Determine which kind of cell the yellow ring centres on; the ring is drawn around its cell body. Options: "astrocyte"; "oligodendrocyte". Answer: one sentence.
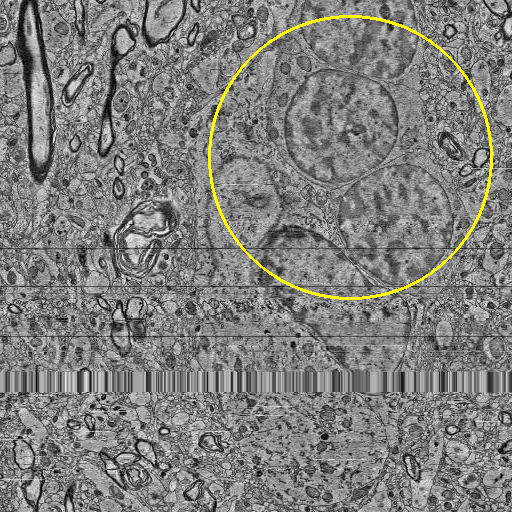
The ring centres on an oligodendrocyte.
